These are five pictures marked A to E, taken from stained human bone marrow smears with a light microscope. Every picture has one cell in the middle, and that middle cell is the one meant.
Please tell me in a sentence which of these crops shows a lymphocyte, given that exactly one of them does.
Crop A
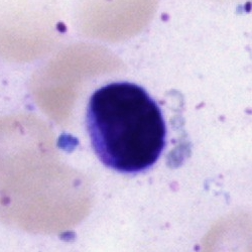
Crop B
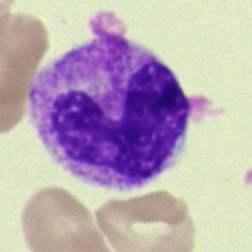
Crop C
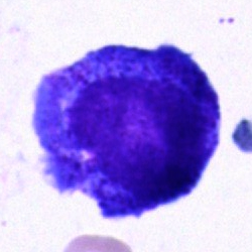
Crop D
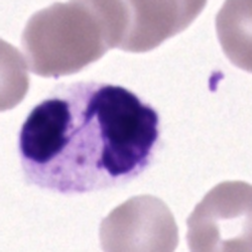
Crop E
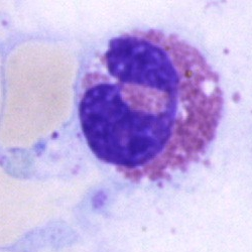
Crop A is the one in this set that shows a lymphocyte.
